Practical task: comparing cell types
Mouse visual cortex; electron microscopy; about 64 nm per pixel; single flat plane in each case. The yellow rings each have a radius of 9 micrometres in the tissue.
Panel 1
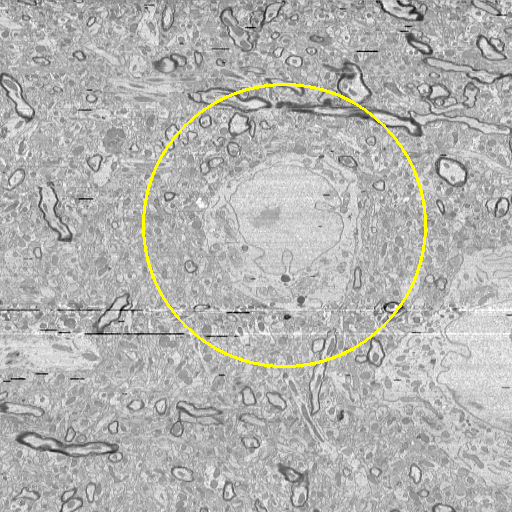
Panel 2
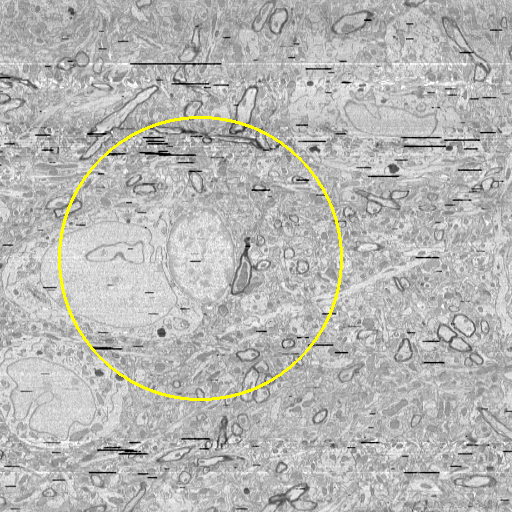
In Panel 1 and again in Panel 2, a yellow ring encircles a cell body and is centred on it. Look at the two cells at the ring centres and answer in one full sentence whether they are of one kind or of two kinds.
The two cells sitting at the ring centres of Panels 1 and 2 are of two kinds.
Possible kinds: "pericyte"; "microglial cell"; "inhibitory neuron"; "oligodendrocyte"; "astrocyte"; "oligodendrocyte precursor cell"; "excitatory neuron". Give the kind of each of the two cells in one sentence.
The cell in the second picture is an oligodendrocyte, and that in the first is an excitatory neuron.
